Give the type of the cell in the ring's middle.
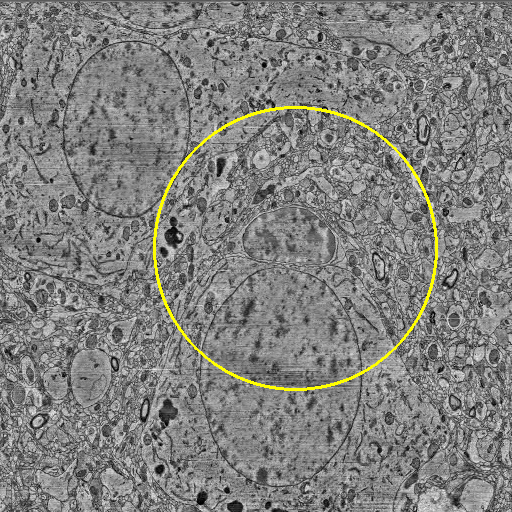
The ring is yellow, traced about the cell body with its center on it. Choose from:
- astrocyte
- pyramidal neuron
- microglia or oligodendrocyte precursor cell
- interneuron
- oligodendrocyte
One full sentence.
Here, a microglial cell or oligodendrocyte precursor cell is the cell lying at the center of the yellow ring.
